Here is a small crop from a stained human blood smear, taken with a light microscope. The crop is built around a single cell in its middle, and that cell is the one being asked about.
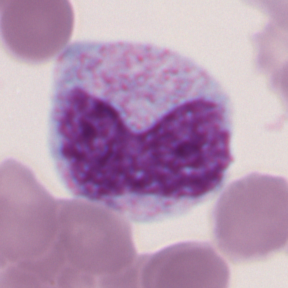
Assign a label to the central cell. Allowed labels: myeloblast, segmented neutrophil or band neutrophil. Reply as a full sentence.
Occupying the centre of the crop is a band neutrophil.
